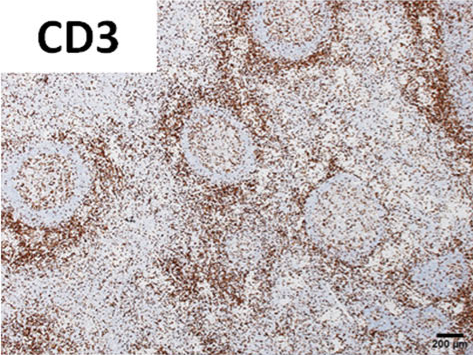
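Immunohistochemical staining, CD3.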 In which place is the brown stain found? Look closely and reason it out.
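Interfollicular area. The round nodules are largely unstained.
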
